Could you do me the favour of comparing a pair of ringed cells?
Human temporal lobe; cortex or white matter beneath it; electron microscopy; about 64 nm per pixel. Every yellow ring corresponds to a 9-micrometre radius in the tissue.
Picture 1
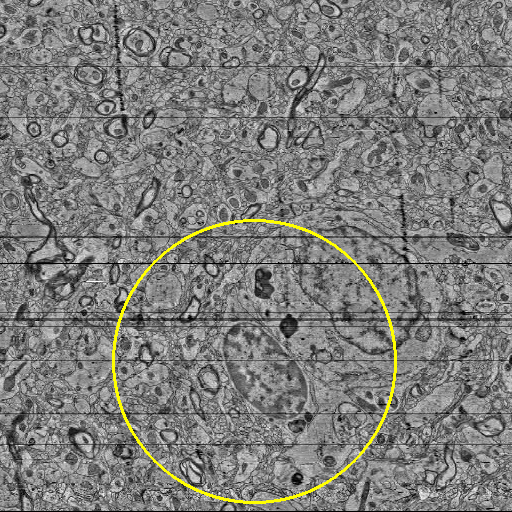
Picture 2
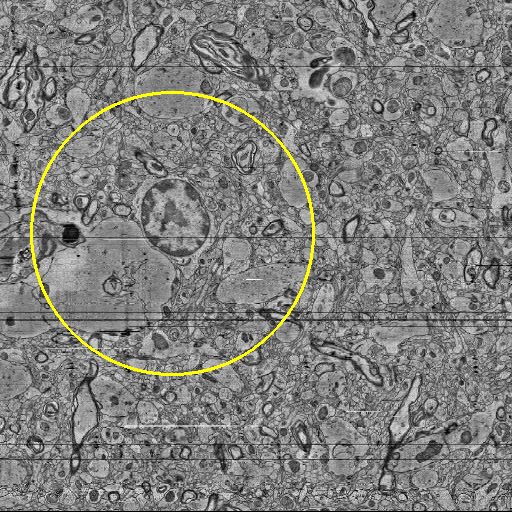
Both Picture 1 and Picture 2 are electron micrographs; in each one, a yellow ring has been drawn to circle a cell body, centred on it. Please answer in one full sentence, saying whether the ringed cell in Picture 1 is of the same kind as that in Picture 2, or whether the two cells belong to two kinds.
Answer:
The ringed cell in Picture 1 is of the same kind as that in Picture 2.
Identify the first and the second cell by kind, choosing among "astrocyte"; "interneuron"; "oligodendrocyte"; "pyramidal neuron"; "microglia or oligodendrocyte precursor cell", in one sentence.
Each one of the two ringed cells is a microglial cell or oligodendrocyte precursor cell.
